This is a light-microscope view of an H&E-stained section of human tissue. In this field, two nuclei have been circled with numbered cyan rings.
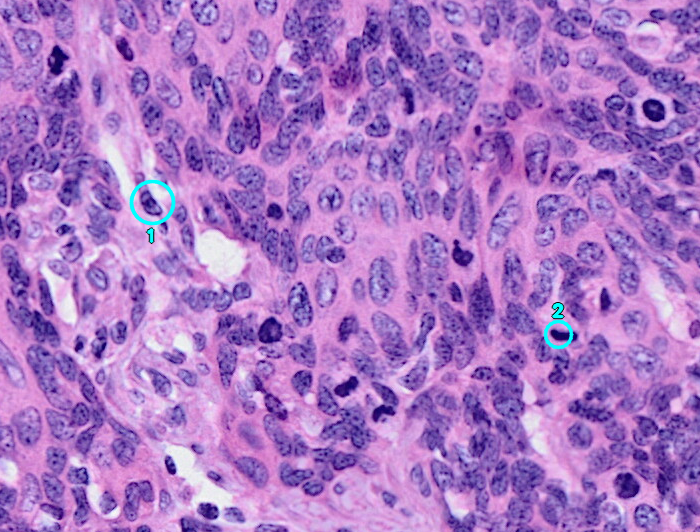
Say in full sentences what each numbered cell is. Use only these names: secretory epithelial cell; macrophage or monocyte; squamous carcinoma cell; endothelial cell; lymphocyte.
Cell 1 is a lymphocyte. Cell 2 is a squamous carcinoma cell.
